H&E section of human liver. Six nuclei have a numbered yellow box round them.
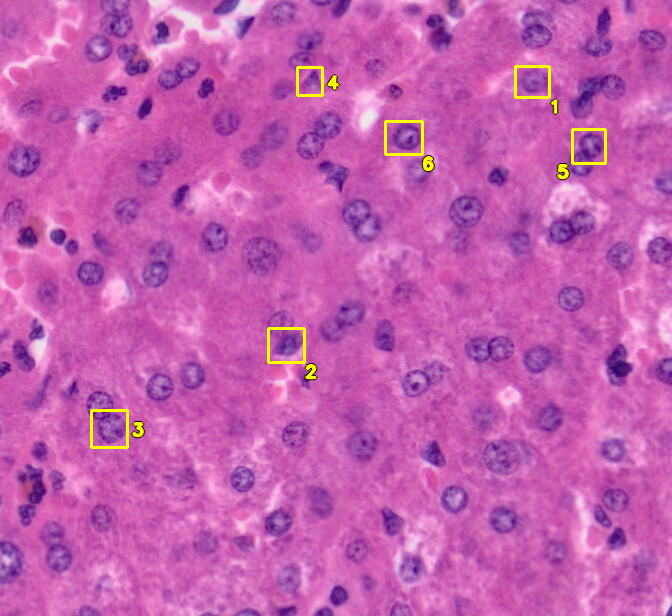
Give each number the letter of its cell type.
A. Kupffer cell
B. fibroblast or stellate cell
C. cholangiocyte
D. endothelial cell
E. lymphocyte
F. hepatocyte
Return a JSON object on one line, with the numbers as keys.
{"1": "F", "2": "B", "3": "F", "4": "B", "5": "F", "6": "F"}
